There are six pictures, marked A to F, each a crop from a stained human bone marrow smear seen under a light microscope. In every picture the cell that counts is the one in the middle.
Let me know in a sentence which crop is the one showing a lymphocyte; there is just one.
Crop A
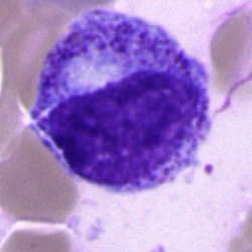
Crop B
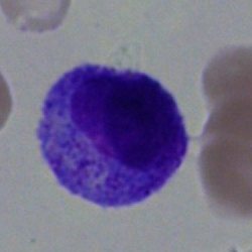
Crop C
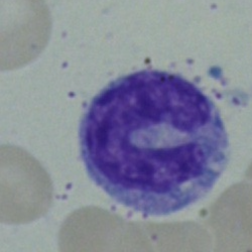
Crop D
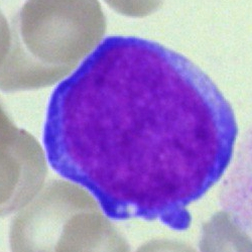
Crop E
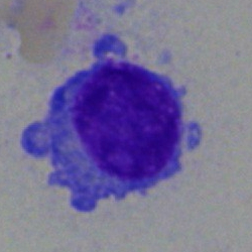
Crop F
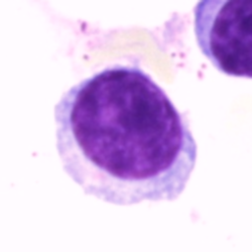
The cell identified as a lymphocyte is the one in crop F.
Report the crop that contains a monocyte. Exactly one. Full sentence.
Crop C is the one in the set with a monocyte at the center.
